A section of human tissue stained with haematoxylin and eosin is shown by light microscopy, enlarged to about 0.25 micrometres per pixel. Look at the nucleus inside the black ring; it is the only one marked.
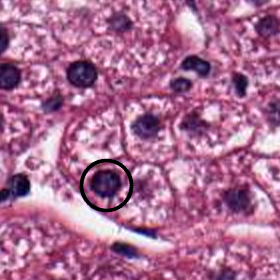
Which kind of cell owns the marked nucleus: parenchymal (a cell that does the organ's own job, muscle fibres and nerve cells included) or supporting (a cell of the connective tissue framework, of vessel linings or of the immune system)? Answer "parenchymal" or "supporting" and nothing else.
parenchymal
